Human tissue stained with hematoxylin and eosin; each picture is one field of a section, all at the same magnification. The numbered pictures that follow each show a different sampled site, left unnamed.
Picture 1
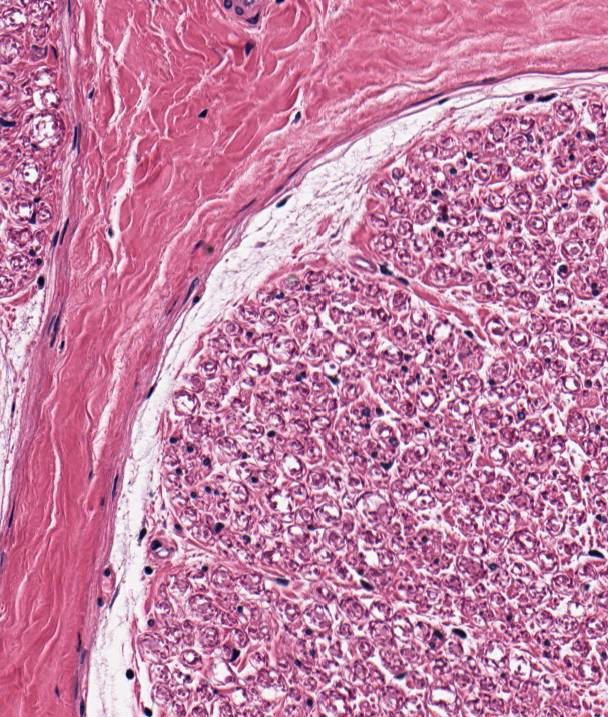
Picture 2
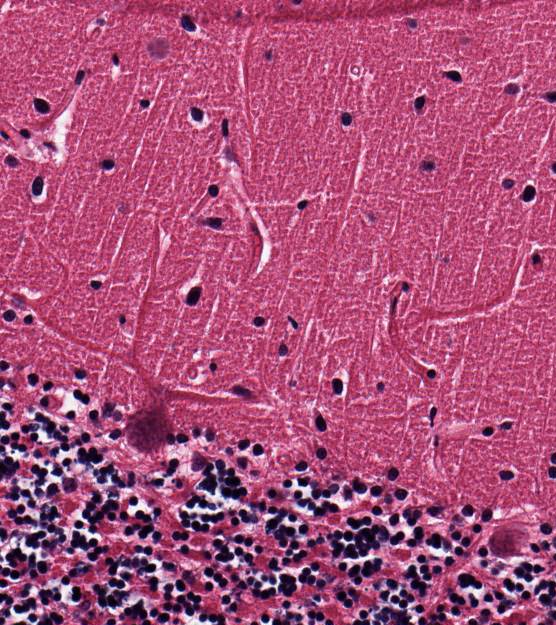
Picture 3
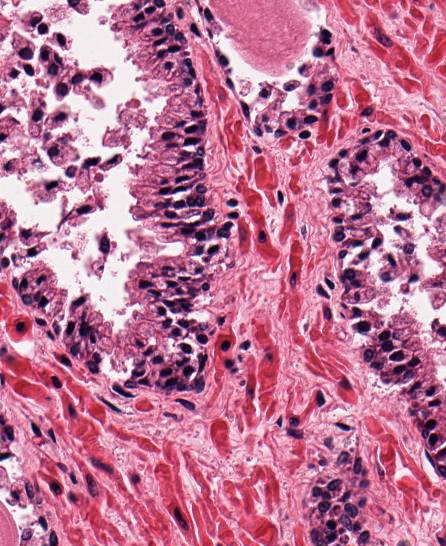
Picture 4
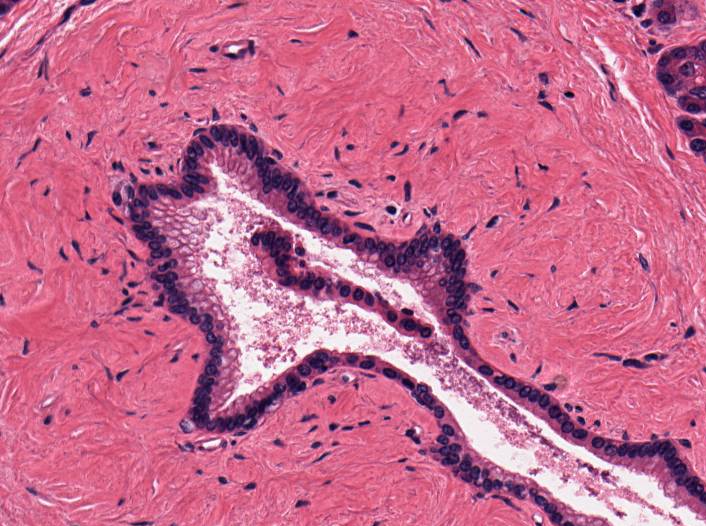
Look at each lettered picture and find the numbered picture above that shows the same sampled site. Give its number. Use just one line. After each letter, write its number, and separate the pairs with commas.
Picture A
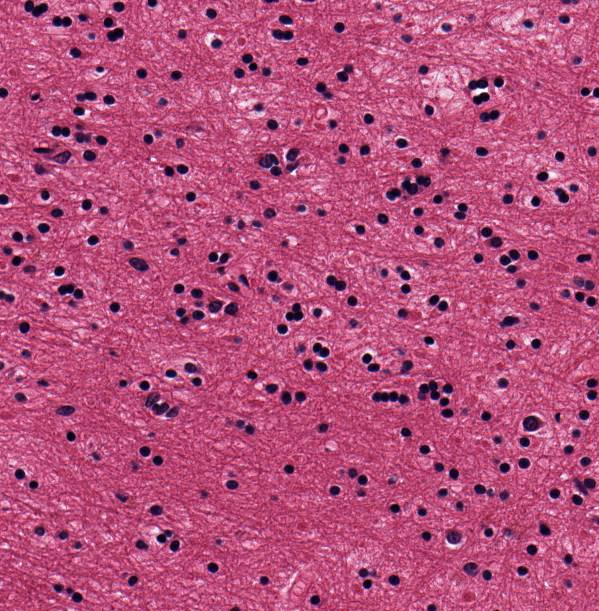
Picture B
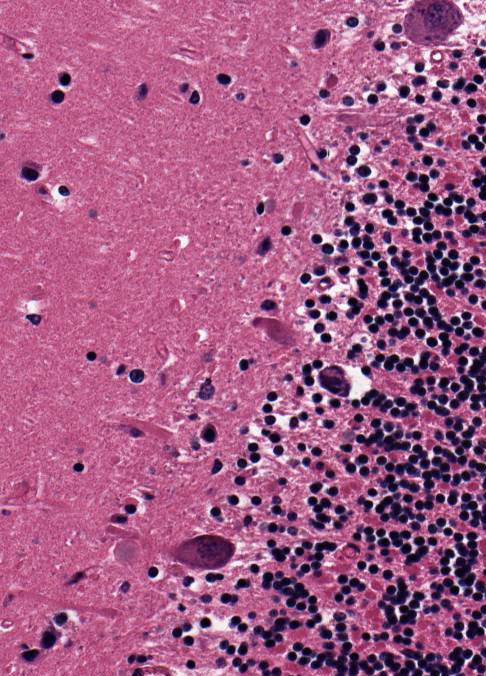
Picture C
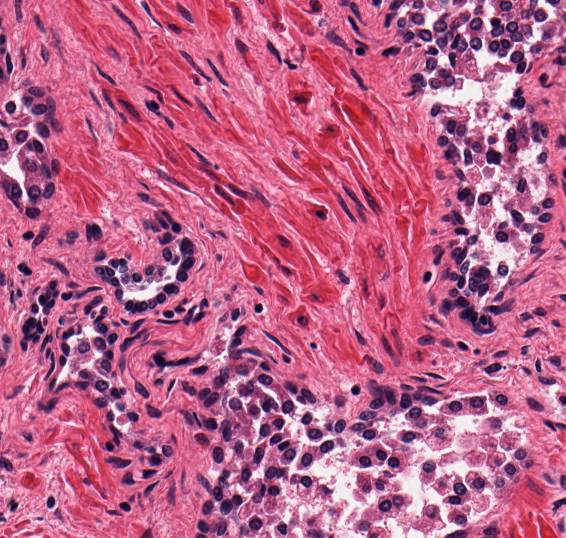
A 2, B 2, C 3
